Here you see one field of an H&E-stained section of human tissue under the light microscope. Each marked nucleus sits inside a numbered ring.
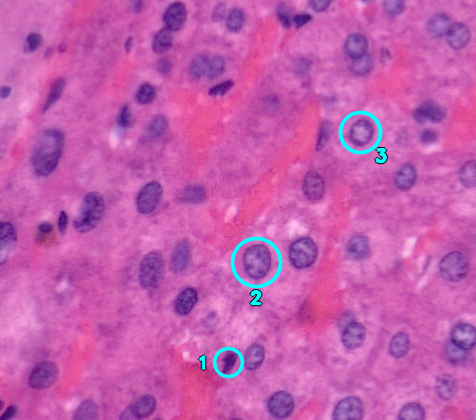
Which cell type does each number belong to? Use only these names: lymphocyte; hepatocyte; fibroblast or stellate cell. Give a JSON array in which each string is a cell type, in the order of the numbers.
["fibroblast or stellate cell", "hepatocyte", "hepatocyte"]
